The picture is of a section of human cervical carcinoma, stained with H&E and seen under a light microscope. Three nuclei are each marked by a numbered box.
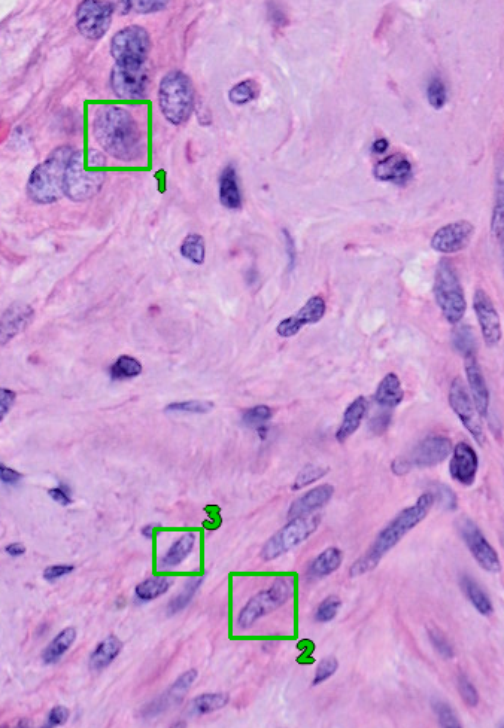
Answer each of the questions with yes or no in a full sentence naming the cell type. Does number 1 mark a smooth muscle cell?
No, calling cell 1 a smooth muscle cell is a mistake; it is an endothelial cell.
